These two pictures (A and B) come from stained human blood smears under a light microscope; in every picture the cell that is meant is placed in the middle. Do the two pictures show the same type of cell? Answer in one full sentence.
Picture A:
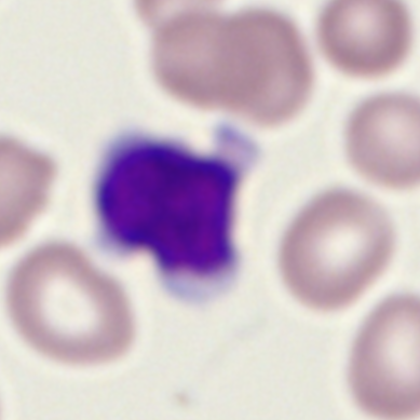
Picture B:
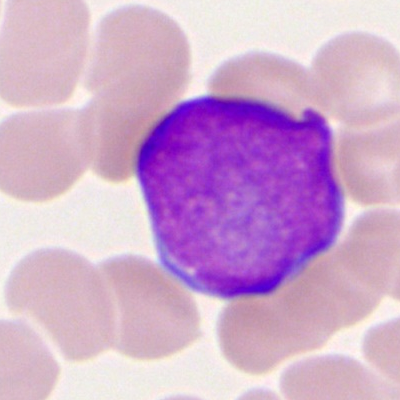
No, picture A shows a lymphocyte and picture B shows a myeloblast.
